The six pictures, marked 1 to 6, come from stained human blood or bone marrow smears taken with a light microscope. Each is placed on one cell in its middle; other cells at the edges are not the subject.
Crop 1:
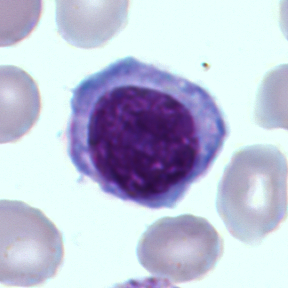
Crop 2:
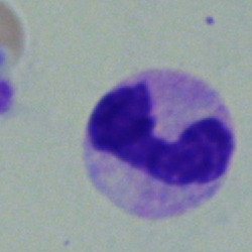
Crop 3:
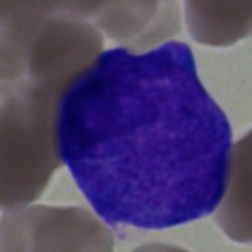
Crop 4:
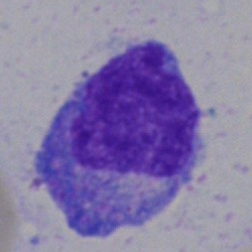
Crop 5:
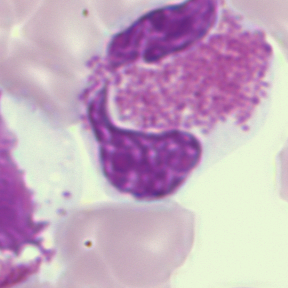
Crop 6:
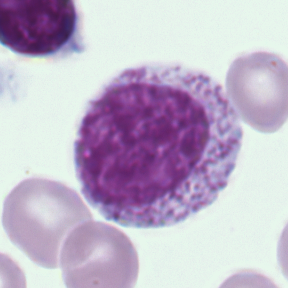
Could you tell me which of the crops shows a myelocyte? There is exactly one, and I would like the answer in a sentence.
Crop 6 is the correct crop, and it shows a myelocyte.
